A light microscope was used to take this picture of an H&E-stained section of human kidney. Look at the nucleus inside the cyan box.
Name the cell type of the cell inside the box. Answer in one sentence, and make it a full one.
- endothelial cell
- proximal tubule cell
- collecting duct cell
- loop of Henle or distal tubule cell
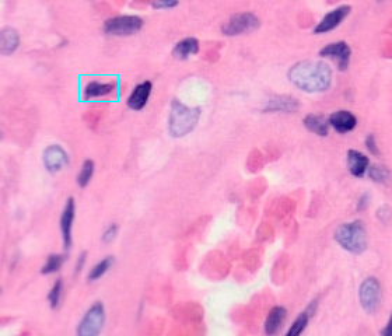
The correct response here is that the cell inside the box is an endothelial cell.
